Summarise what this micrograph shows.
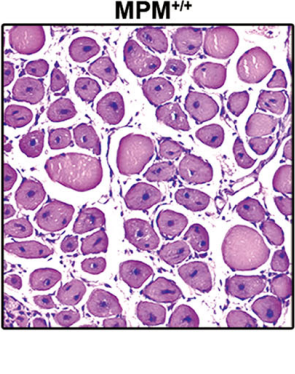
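This is a cross-section of regenerating skeletal muscle stained with hematoxylin and eosin. The muscle fibers appear as pink, rounded or polygonal profiles of varying size, some quite large and pale. Many fibers carry a single purple nucleus sitting in the center of the fiber rather than at the periphery, the hallmark of fibers that have recently regenerated. Between the fibers lies loose, pale interstitial tissue with scattered small dark nuclei of interstitial cells. Some of the largest fibers look pale and rather homogeneous in their pink cytoplasm.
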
